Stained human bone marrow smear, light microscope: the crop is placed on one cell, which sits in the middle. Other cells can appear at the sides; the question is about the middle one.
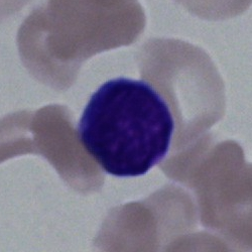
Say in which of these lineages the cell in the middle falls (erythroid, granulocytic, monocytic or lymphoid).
lymphoid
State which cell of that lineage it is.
lymphocyte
